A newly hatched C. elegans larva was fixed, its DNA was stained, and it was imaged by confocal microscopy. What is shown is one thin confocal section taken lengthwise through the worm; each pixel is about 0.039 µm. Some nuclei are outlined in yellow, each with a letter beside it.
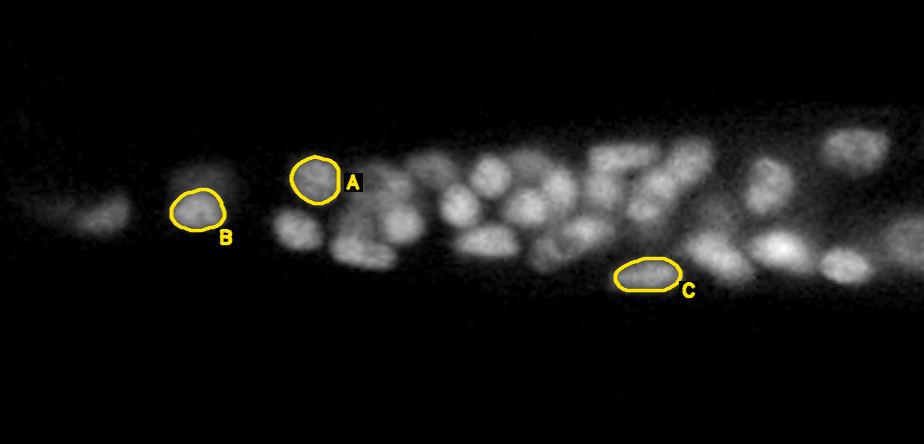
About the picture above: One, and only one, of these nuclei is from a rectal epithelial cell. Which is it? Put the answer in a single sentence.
The nucleus of a rectal epithelial cell is C.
